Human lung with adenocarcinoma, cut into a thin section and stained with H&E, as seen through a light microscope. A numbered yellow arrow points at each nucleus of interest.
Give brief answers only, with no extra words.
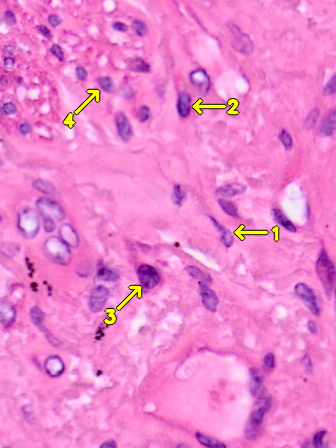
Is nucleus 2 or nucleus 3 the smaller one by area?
2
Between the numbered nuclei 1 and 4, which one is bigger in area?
1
